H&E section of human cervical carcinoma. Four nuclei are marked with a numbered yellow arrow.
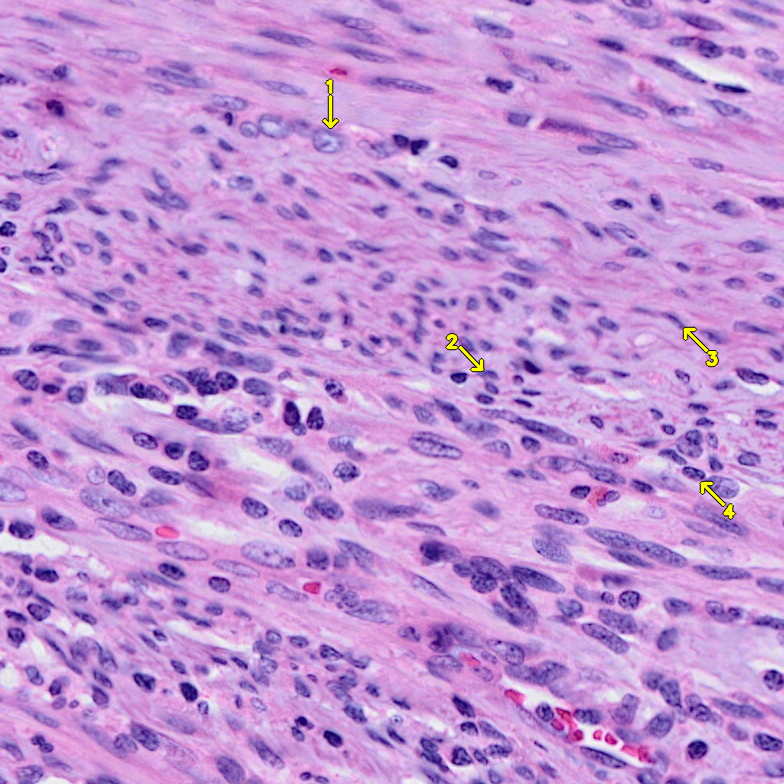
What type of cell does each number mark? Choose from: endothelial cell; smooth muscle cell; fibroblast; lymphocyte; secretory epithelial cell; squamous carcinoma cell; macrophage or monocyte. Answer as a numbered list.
1. endothelial cell
2. fibroblast
3. smooth muscle cell
4. lymphocyte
